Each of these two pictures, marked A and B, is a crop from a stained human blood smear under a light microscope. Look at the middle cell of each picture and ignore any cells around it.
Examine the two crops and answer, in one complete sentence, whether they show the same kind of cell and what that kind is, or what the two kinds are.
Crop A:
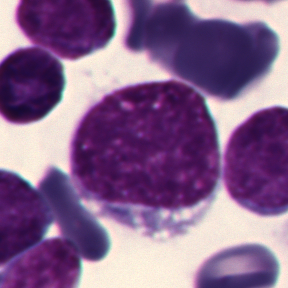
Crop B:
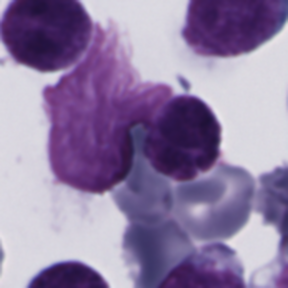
No, crop B centres on a smudge cell, and crop A centres on a myeloblast.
